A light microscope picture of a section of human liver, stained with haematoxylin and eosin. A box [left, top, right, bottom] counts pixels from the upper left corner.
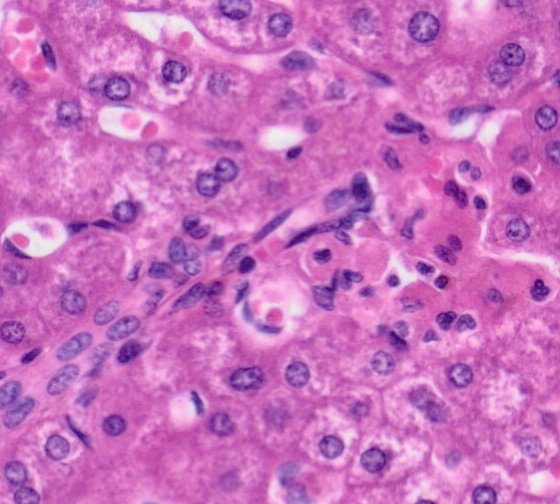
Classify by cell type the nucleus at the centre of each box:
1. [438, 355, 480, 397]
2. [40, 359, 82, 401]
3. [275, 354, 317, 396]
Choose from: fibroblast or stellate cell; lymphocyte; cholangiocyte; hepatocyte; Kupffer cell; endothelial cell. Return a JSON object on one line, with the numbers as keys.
{"1": "hepatocyte", "2": "cholangiocyte", "3": "hepatocyte"}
